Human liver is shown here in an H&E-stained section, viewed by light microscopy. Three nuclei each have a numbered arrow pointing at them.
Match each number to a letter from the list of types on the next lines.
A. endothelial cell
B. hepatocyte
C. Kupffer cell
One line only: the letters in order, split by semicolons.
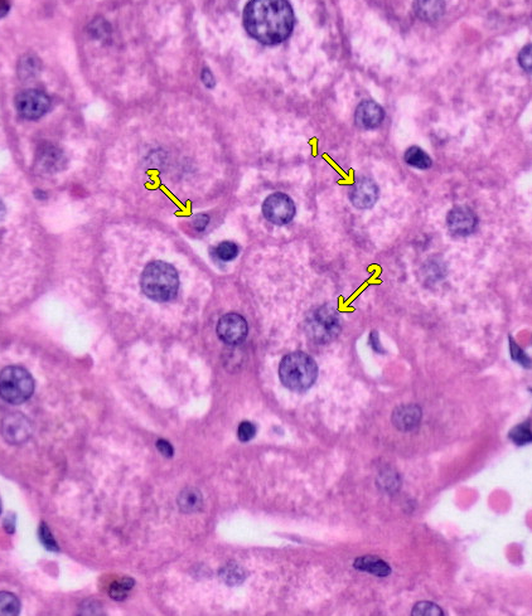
B; B; C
